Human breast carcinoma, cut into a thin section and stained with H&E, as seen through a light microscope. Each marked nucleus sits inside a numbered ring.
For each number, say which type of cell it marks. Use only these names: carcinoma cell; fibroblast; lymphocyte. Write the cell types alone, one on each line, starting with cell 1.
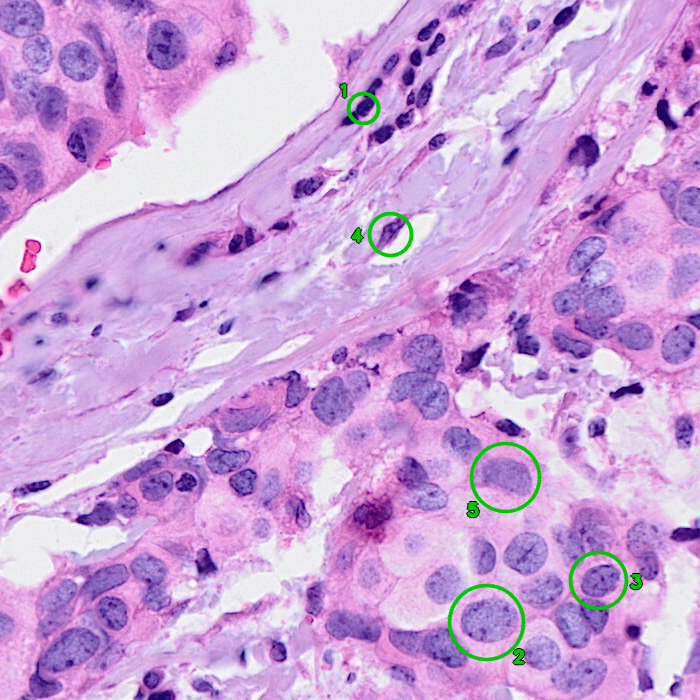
lymphocyte
carcinoma cell
carcinoma cell
fibroblast
carcinoma cell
